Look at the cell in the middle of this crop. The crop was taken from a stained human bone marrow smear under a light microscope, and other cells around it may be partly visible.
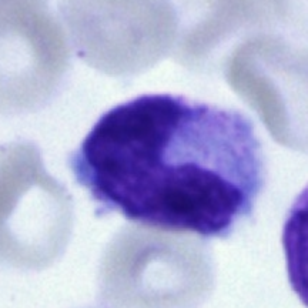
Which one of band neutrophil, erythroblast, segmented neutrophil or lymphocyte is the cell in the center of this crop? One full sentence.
Regarding the central cell, it is a band neutrophil.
